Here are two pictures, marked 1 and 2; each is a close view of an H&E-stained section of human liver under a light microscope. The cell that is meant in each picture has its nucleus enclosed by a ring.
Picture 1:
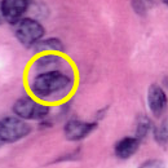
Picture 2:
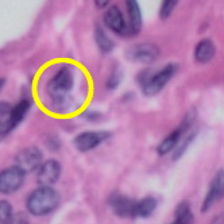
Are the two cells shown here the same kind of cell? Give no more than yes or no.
no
